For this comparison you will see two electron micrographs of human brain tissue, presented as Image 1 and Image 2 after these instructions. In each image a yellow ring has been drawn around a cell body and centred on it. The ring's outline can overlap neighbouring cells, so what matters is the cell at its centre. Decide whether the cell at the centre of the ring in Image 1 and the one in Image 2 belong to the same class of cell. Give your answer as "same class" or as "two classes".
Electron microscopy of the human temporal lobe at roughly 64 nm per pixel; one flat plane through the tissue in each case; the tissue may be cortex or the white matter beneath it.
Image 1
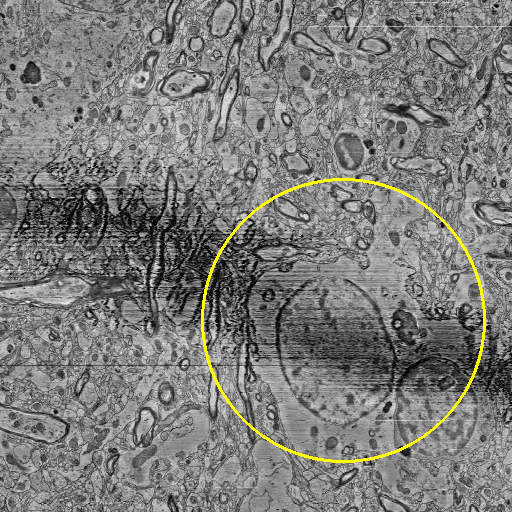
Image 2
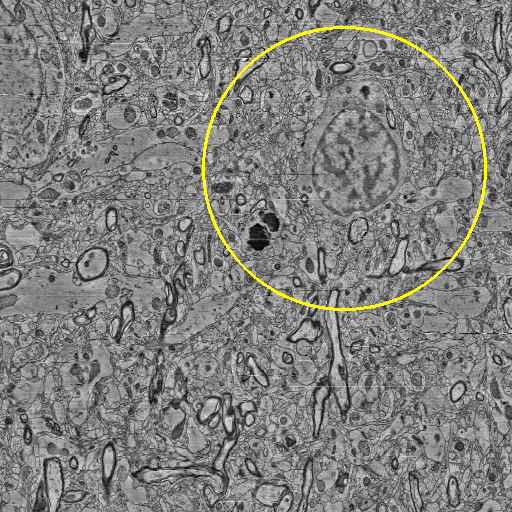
two classes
